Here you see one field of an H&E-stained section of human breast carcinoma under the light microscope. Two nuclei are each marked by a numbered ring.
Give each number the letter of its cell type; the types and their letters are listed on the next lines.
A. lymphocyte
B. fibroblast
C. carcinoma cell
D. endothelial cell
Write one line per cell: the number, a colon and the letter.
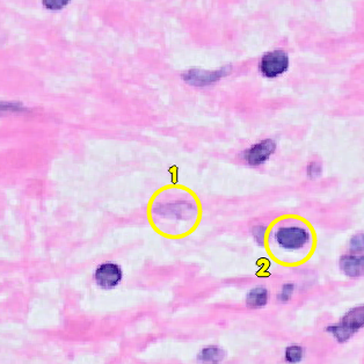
1: B
2: A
